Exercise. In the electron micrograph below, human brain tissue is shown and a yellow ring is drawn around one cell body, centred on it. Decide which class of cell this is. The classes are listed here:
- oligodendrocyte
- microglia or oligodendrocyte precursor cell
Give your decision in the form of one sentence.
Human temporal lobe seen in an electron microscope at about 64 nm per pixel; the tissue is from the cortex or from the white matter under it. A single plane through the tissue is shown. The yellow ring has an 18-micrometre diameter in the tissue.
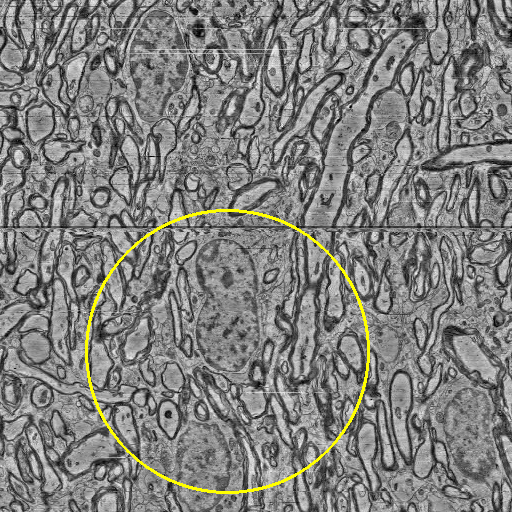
The cell body marked by the ring belongs to a microglial cell or oligodendrocyte precursor cell.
